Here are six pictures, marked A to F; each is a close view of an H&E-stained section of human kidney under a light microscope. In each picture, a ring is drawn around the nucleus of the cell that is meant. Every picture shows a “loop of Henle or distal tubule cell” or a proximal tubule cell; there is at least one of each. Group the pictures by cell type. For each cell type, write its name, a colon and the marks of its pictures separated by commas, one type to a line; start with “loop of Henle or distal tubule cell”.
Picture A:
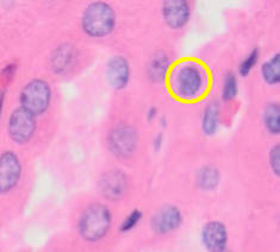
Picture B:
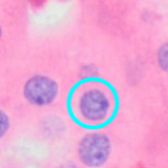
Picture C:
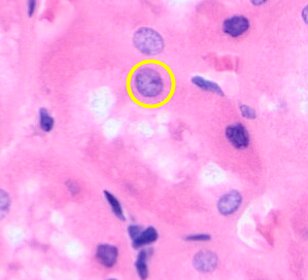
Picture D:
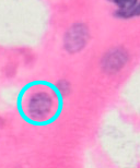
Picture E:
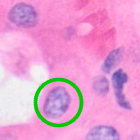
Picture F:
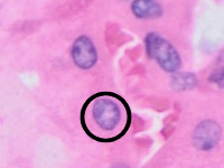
loop of Henle or distal tubule cell: A, B, E
proximal tubule cell: C, D, F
